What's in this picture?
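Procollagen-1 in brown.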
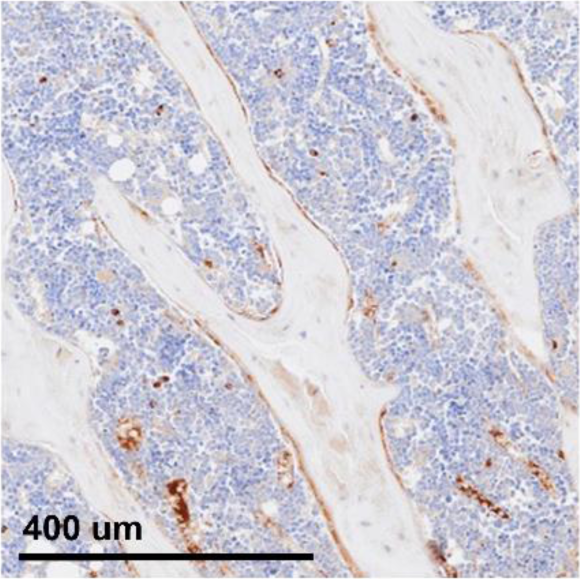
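Broad pale beige trabeculae run diagonally across the field and contain scattered small lacunae with flattened nuclei. Along several trabecular edges a thin brown layer of flattened cells lies directly against the bone. The marrow spaces are densely packed with small blue-nucleated hematopoietic cells, with only a few small round clear fat vacuoles. Scattered small brown clusters also lie within the marrow.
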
